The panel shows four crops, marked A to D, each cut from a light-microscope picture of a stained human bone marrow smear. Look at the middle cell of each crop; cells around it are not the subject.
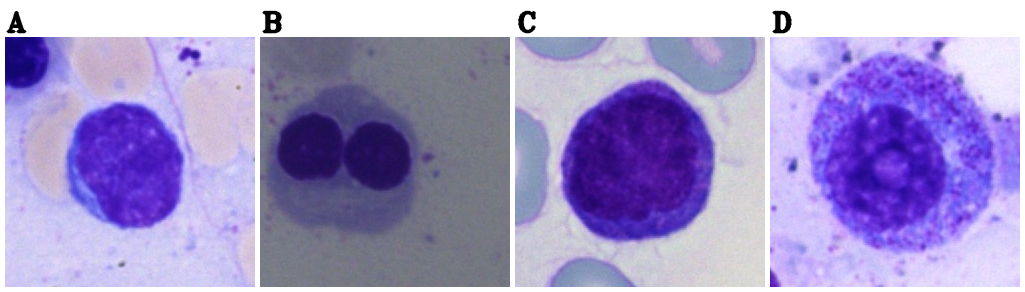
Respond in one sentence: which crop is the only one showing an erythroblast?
Crop B is the correct crop, and it shows an erythroblast.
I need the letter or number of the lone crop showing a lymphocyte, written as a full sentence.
Look at crop A; that is the one with a lymphocyte in its center.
